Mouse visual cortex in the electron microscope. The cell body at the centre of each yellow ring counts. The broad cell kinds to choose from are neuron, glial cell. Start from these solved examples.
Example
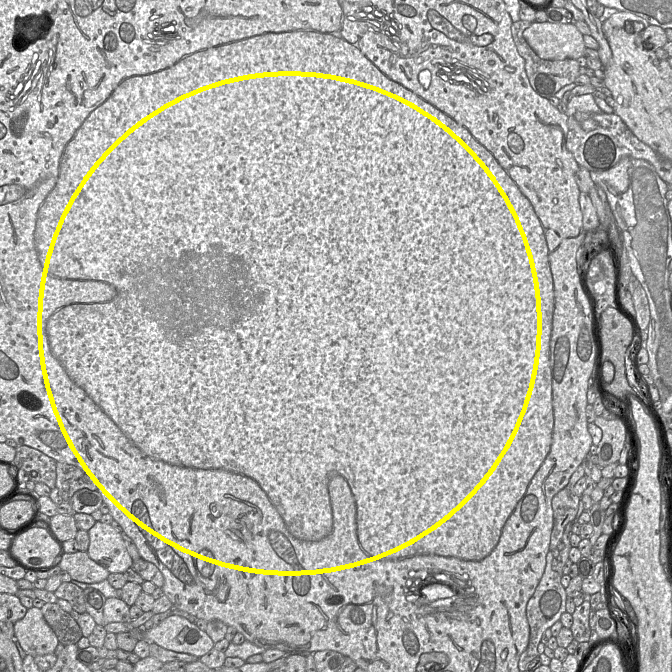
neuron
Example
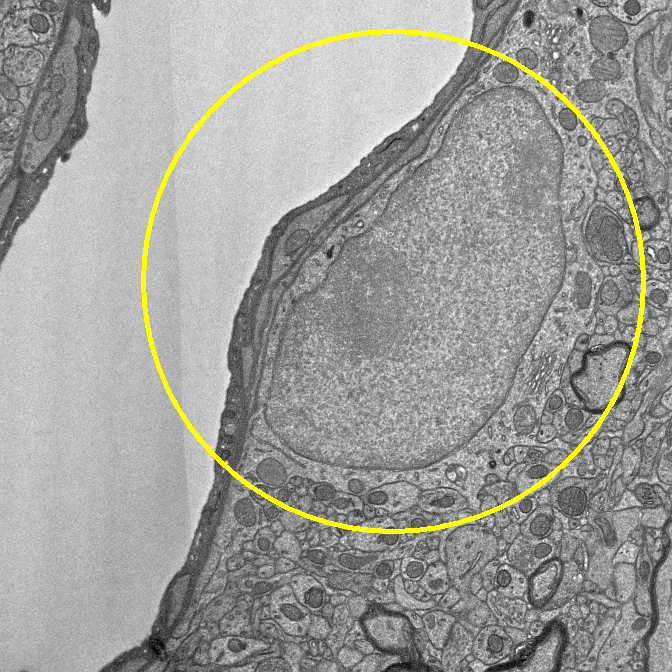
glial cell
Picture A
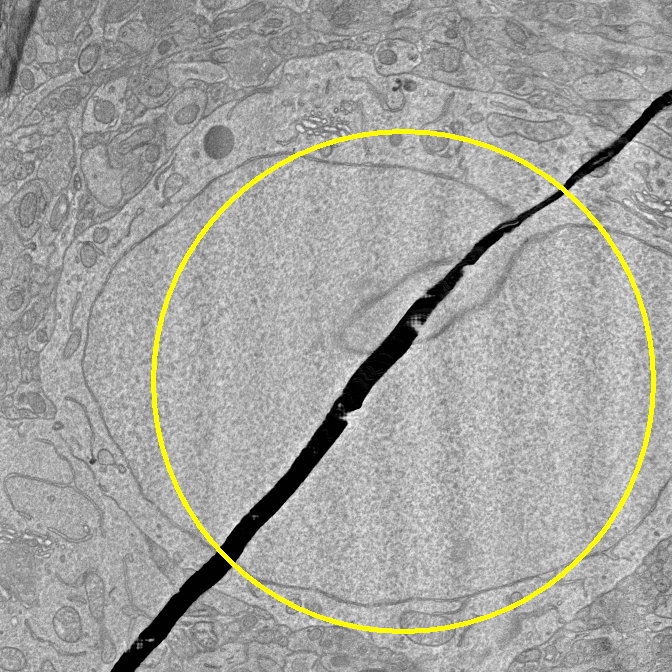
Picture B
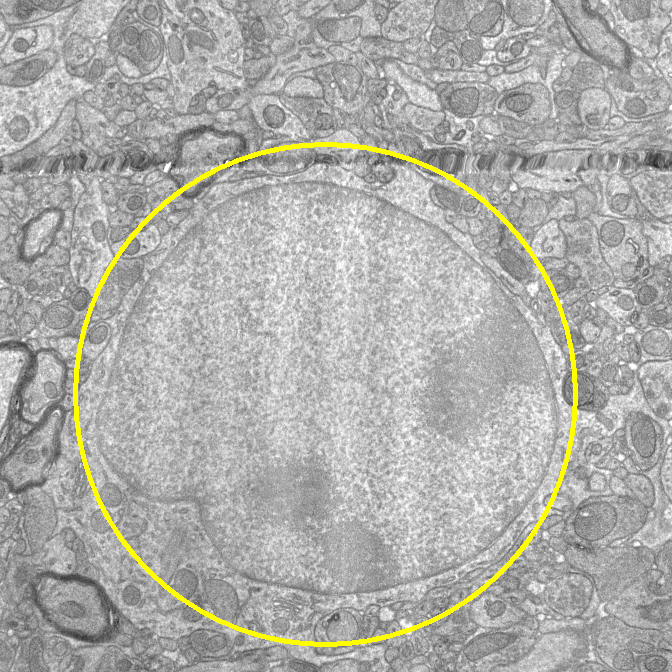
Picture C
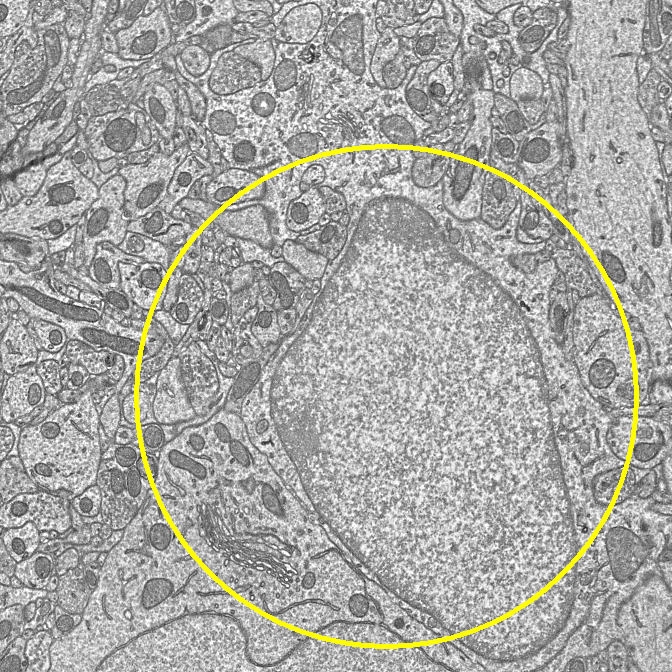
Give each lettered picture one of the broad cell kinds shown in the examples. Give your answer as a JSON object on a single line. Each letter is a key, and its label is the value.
{"A": "neuron", "B": "glial cell", "C": "glial cell"}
